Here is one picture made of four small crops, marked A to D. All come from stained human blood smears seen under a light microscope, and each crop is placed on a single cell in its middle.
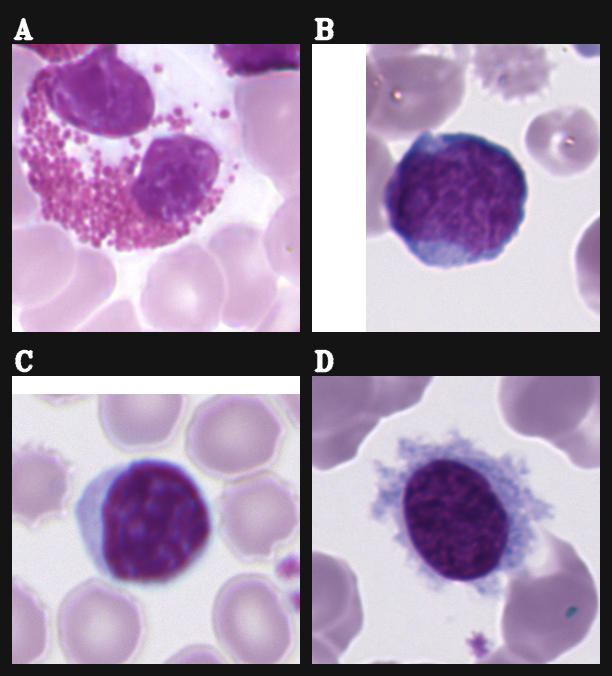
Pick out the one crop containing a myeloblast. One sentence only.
On review of the set, crop B is the one showing a myeloblast.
